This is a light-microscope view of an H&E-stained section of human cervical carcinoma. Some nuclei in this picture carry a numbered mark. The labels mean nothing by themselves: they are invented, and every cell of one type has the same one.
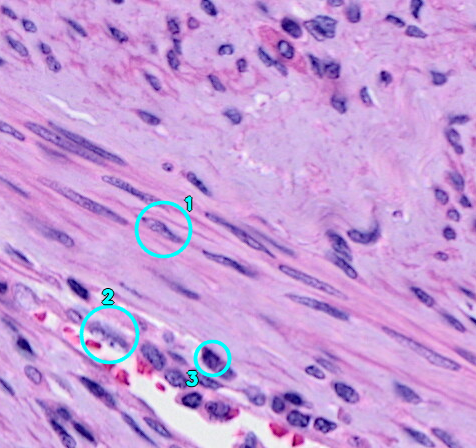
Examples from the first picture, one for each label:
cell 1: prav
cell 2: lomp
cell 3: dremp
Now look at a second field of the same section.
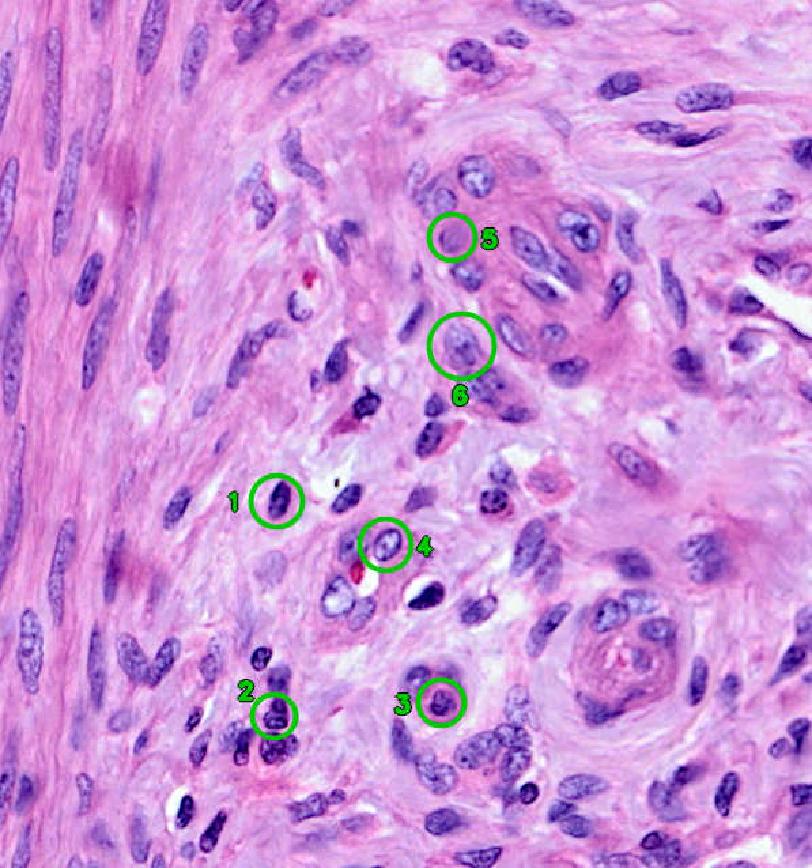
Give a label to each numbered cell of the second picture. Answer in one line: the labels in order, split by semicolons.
dremp; dremp; lomp; lomp; prav; lomp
